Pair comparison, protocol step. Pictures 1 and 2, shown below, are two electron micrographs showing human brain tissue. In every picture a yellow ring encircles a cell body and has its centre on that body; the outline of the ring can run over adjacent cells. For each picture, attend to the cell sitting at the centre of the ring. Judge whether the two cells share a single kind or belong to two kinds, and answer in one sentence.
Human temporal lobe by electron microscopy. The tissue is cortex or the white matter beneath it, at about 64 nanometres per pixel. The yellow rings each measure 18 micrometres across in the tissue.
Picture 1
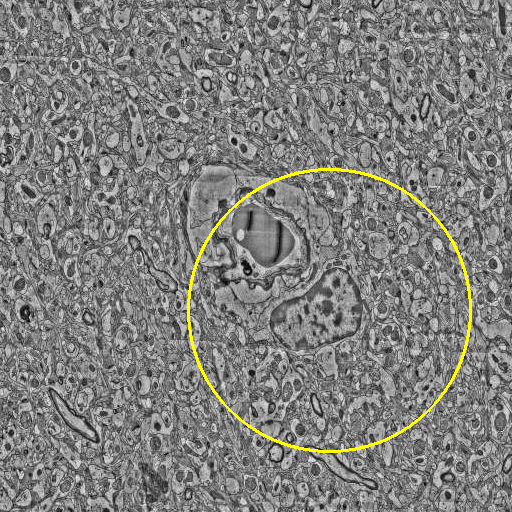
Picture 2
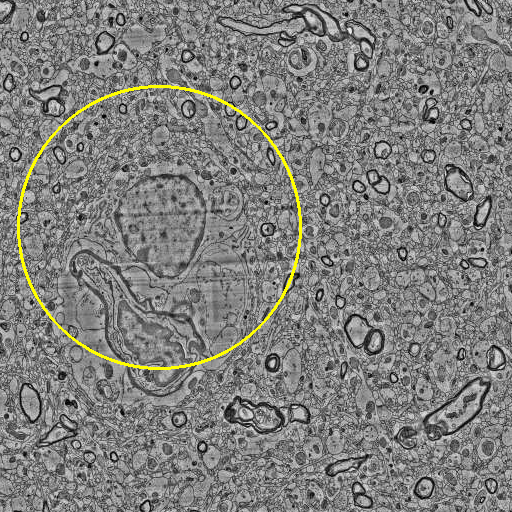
The two cells at the ring centres in Picture 1 and Picture 2 share a single kind.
